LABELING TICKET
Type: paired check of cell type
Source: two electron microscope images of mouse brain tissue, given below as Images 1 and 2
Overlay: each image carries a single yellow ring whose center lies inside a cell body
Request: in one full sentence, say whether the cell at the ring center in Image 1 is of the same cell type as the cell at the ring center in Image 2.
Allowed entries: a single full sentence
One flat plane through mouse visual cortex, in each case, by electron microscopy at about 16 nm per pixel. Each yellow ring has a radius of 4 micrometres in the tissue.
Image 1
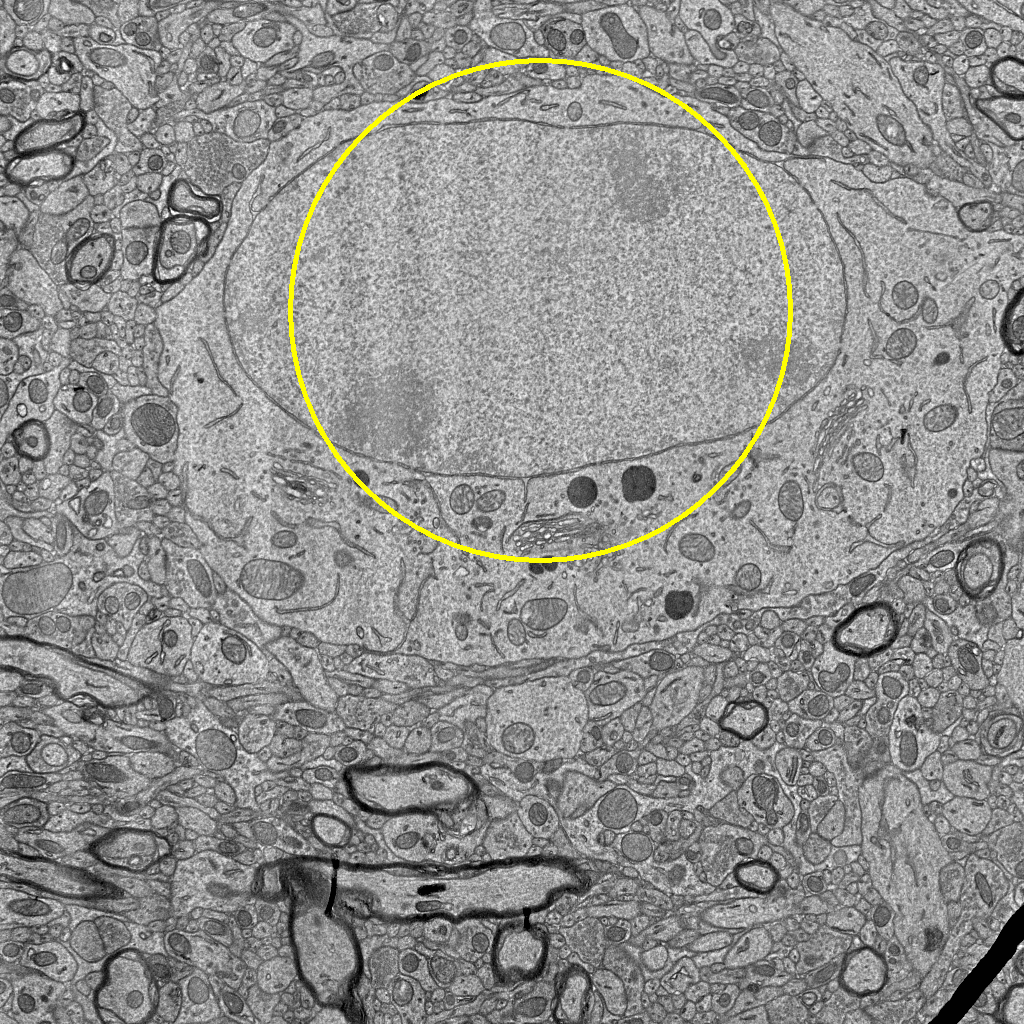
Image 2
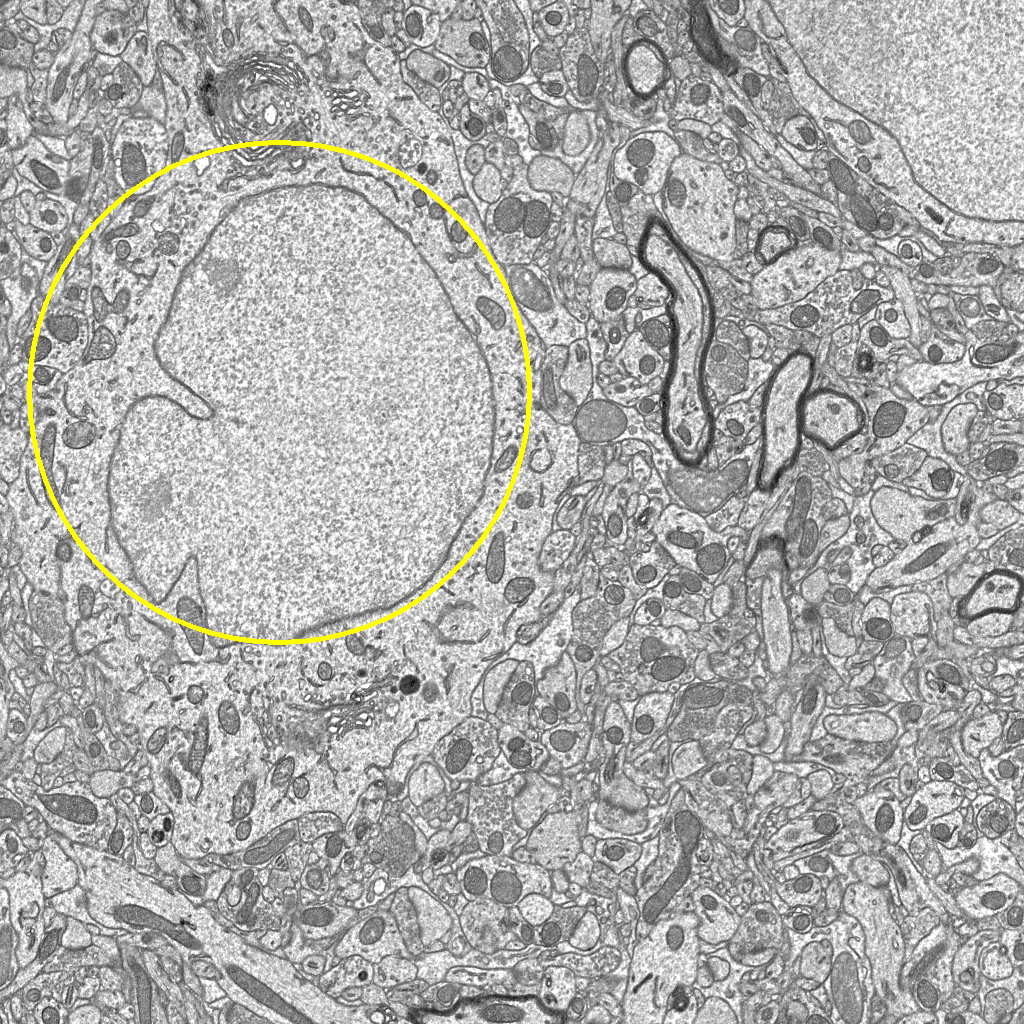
Yes, the cells at the ring centers of Image 1 and Image 2 share one type.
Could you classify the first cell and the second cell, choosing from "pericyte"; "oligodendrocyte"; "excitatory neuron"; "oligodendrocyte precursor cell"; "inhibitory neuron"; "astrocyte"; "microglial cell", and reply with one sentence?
Both rings mark an excitatory neuron, one in each picture.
